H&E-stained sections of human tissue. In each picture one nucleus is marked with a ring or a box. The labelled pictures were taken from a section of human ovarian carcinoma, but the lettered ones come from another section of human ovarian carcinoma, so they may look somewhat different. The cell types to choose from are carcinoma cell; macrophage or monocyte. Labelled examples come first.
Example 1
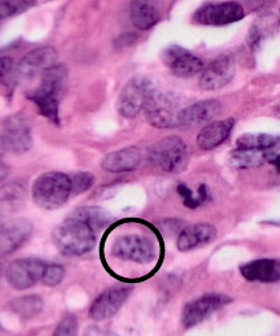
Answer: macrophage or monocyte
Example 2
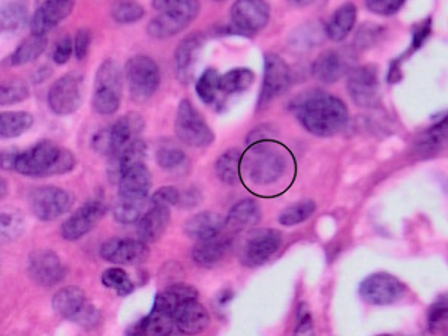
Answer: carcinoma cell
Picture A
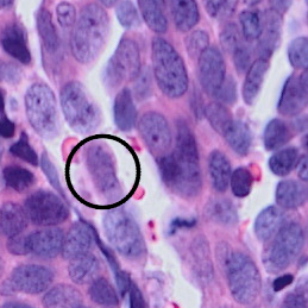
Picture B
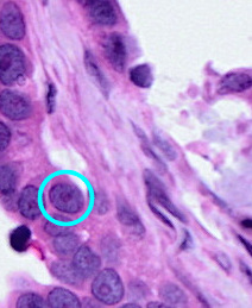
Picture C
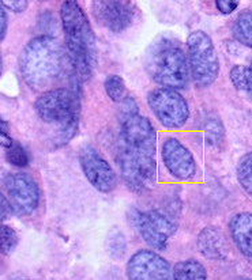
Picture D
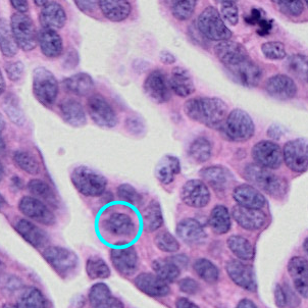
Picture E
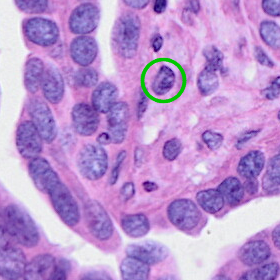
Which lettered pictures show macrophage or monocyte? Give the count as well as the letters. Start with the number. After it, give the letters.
Count: 1 (E)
